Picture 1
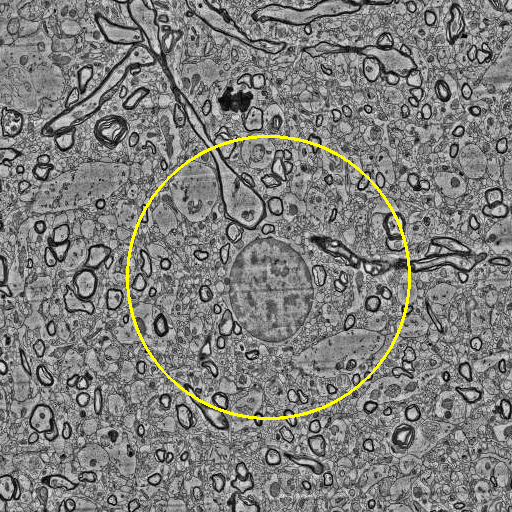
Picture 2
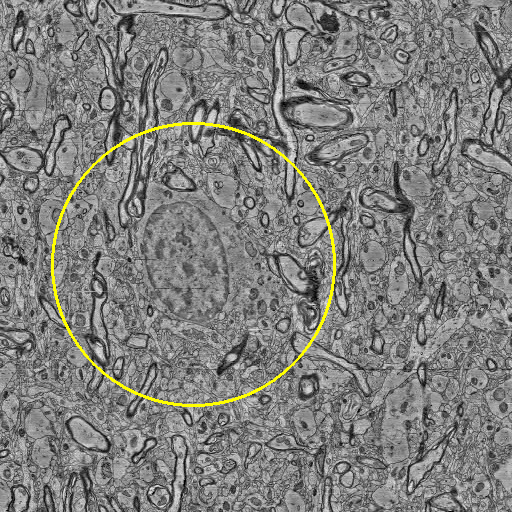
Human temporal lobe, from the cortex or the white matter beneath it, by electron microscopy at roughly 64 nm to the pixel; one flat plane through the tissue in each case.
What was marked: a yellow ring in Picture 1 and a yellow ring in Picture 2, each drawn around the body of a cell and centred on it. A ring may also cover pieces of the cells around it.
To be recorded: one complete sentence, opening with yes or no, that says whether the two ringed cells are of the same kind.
Yes, the two ringed cells are of the same kind.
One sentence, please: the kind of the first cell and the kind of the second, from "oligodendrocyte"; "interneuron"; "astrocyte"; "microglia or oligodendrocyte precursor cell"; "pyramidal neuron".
Each of the two rings is centred on an oligodendrocyte.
